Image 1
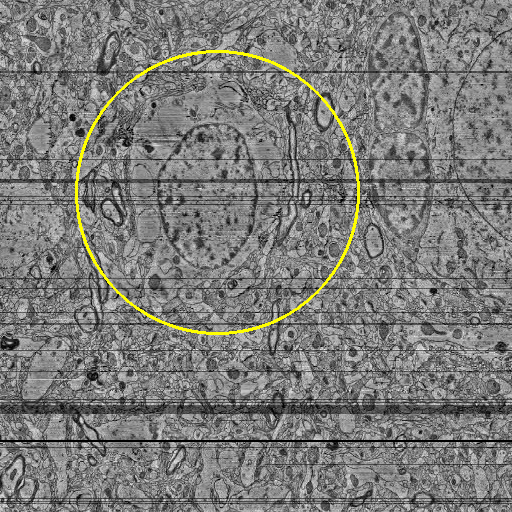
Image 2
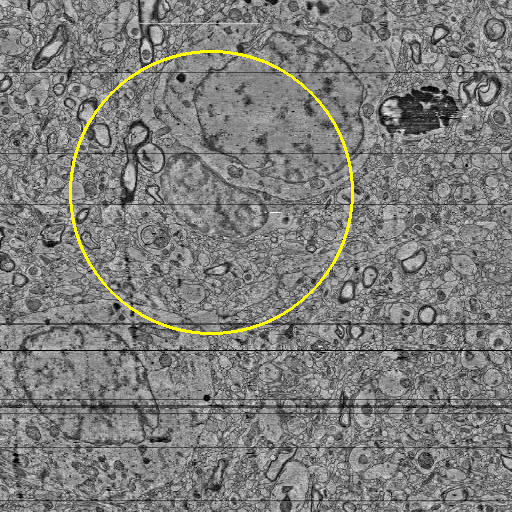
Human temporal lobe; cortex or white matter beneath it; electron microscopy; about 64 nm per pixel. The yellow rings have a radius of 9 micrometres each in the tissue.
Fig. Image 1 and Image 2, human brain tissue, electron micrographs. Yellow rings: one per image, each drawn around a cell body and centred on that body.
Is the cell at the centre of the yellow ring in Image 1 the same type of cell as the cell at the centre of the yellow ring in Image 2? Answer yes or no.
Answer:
no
